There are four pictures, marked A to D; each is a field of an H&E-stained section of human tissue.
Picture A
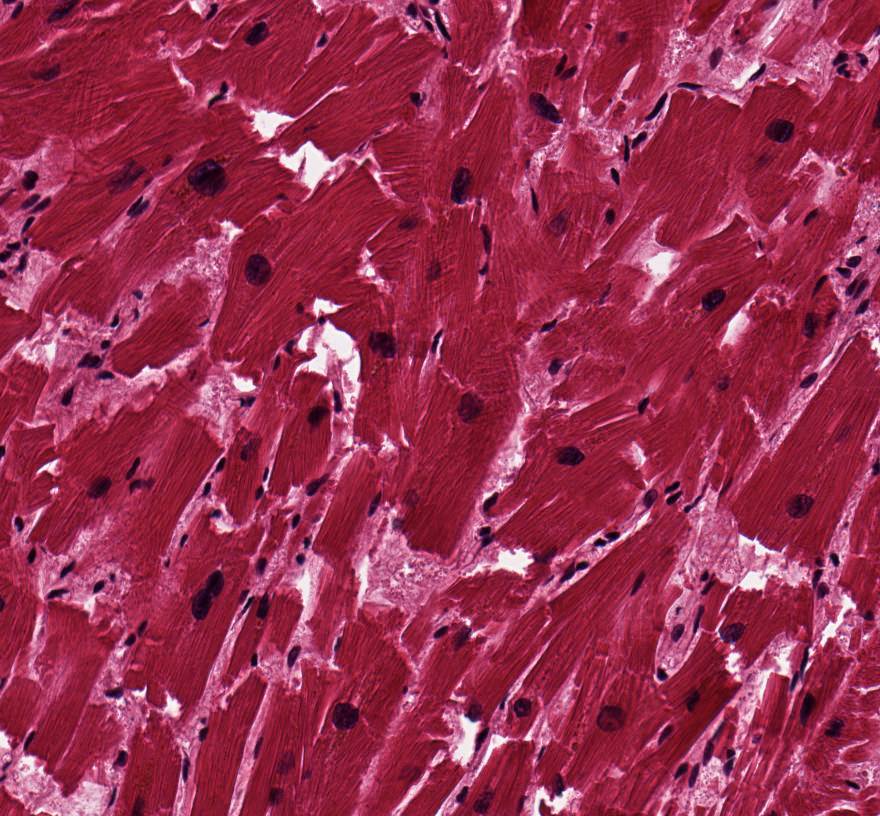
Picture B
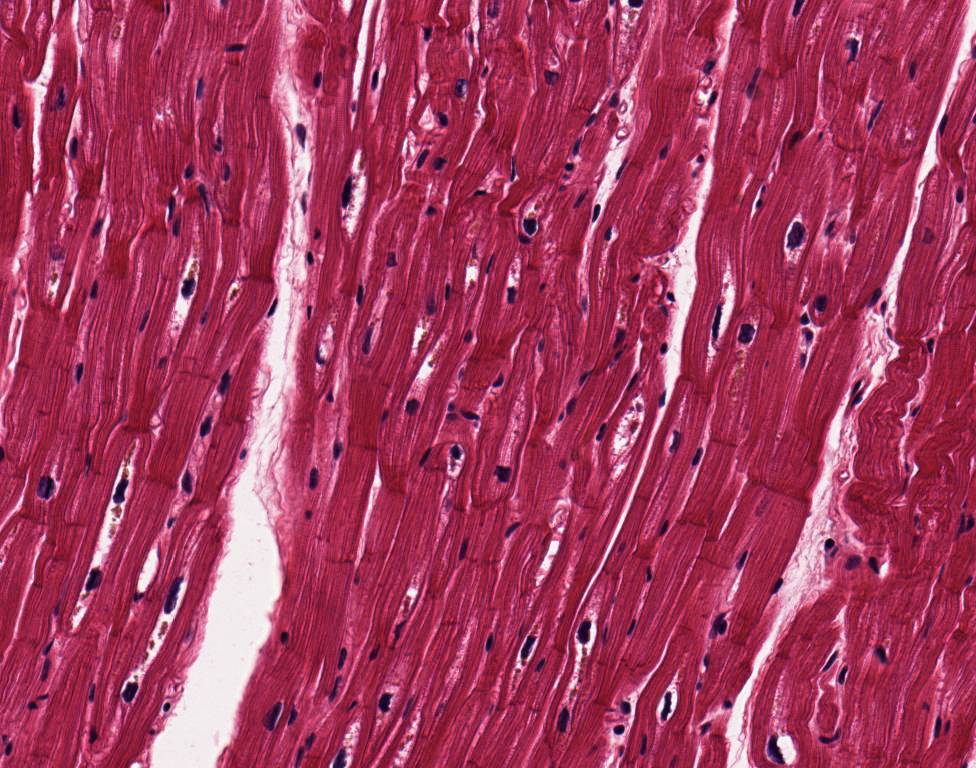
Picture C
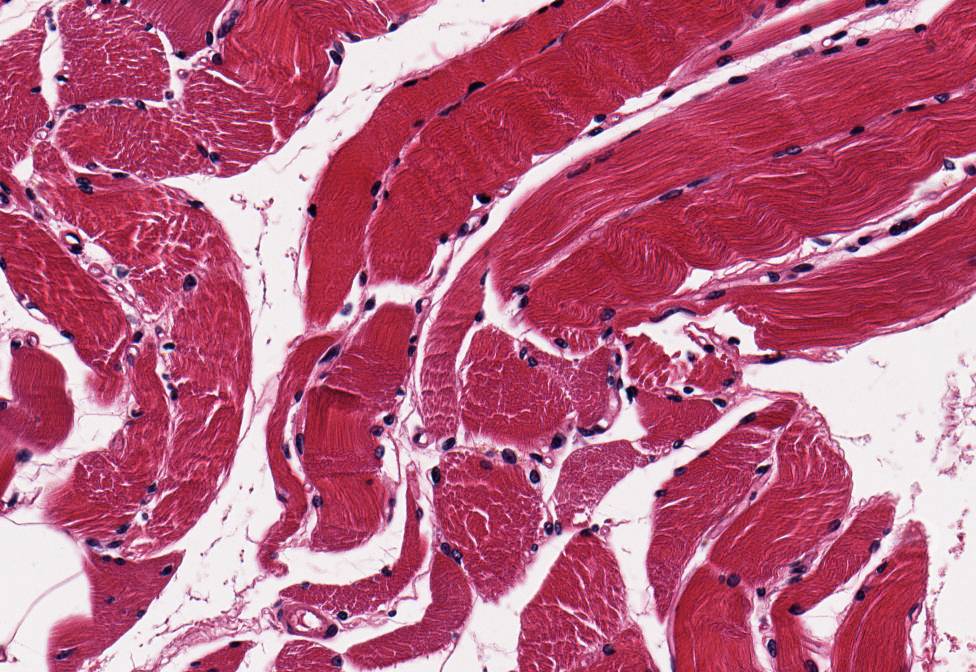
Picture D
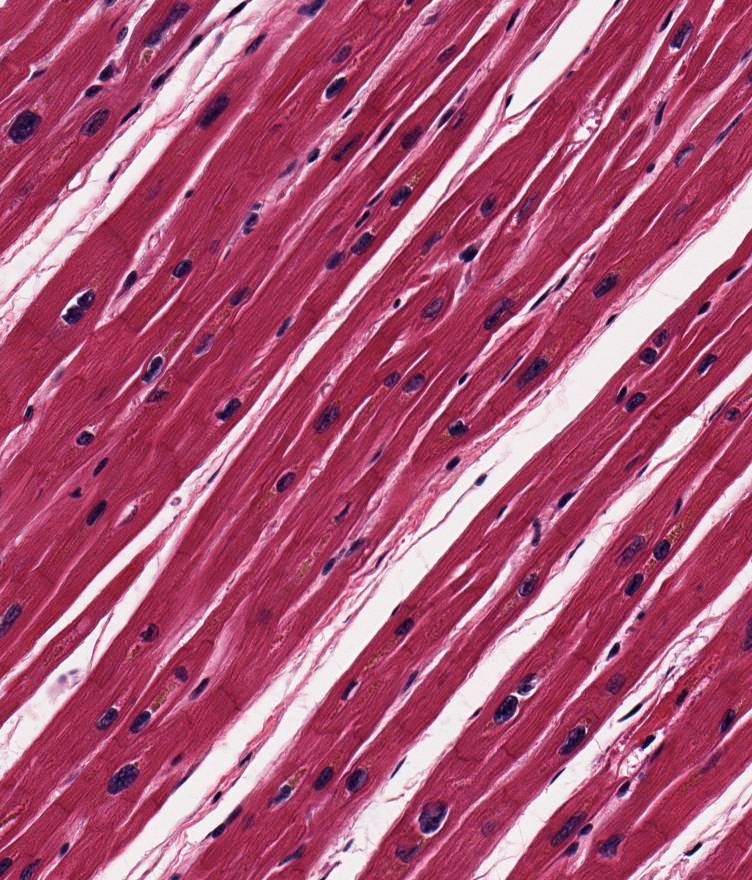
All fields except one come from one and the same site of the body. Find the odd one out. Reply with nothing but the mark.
C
